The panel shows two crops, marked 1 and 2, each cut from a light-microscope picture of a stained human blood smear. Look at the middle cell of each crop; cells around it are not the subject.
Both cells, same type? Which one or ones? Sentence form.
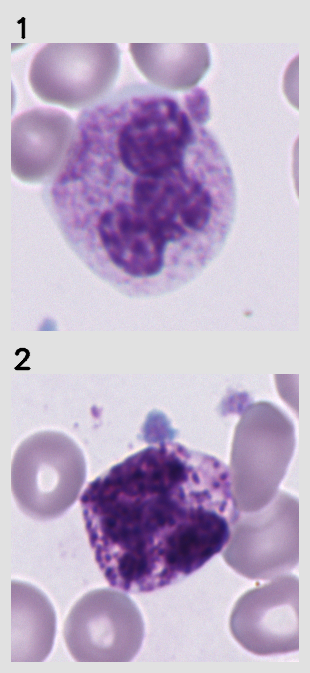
No, the cell centred in crop 1 is a segmented neutrophil, and that centred in crop 2 is a basophil.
